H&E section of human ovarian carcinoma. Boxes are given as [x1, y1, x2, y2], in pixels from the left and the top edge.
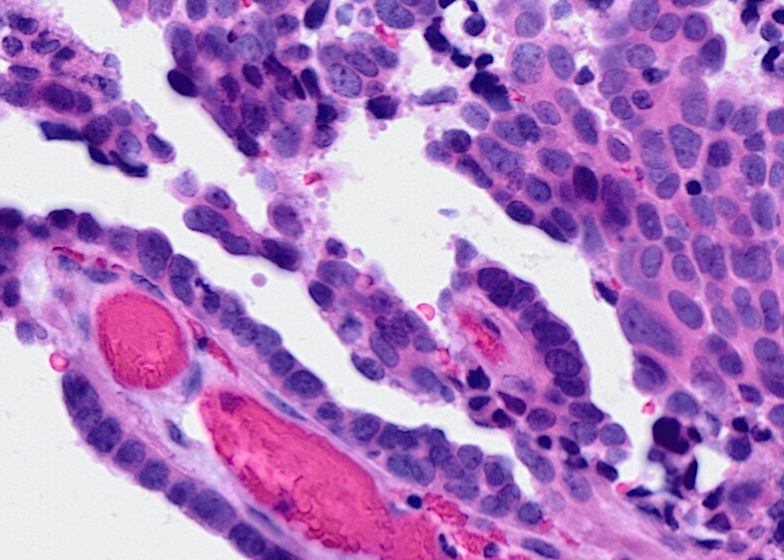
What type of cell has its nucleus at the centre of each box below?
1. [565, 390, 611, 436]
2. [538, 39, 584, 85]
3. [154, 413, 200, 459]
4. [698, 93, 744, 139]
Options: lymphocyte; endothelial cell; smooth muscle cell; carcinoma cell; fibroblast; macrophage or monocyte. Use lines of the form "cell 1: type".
cell 1: carcinoma cell
cell 2: carcinoma cell
cell 3: fibroblast
cell 4: carcinoma cell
